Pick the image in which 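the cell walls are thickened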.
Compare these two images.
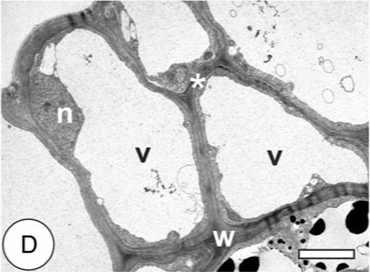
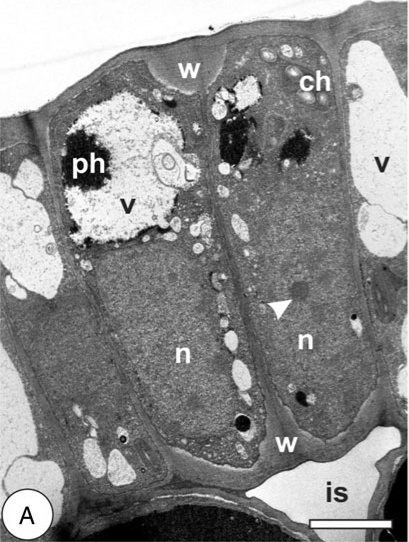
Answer: the first image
